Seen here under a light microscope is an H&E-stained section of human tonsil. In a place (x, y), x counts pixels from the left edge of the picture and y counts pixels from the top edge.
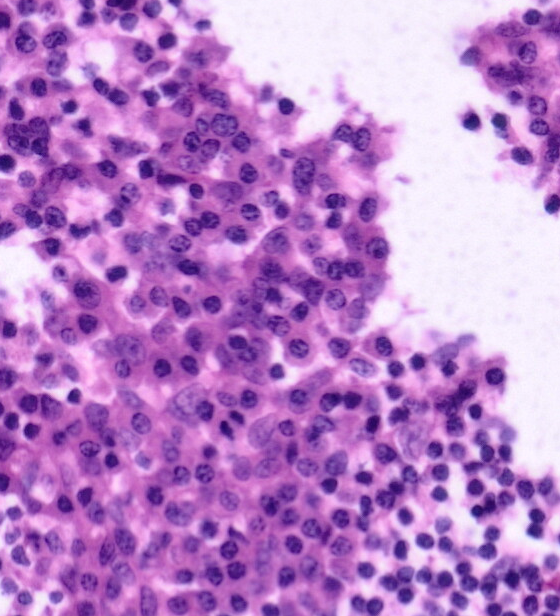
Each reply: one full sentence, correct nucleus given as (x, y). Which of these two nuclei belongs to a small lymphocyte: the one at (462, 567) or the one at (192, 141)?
Identified as belonging to a small lymphocyte is the nucleus at (462, 567).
